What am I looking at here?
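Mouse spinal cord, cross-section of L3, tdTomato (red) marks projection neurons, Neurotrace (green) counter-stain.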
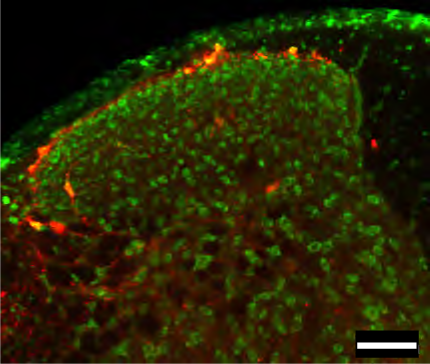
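The grey matter is filled with many small, rounded green-stained cell bodies, densely packed. A curved band of white matter runs around the outer edge of the dorsal horn. Some red cells appear yellowish where they overlap the green stain, and thin red processes extend along the margin.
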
